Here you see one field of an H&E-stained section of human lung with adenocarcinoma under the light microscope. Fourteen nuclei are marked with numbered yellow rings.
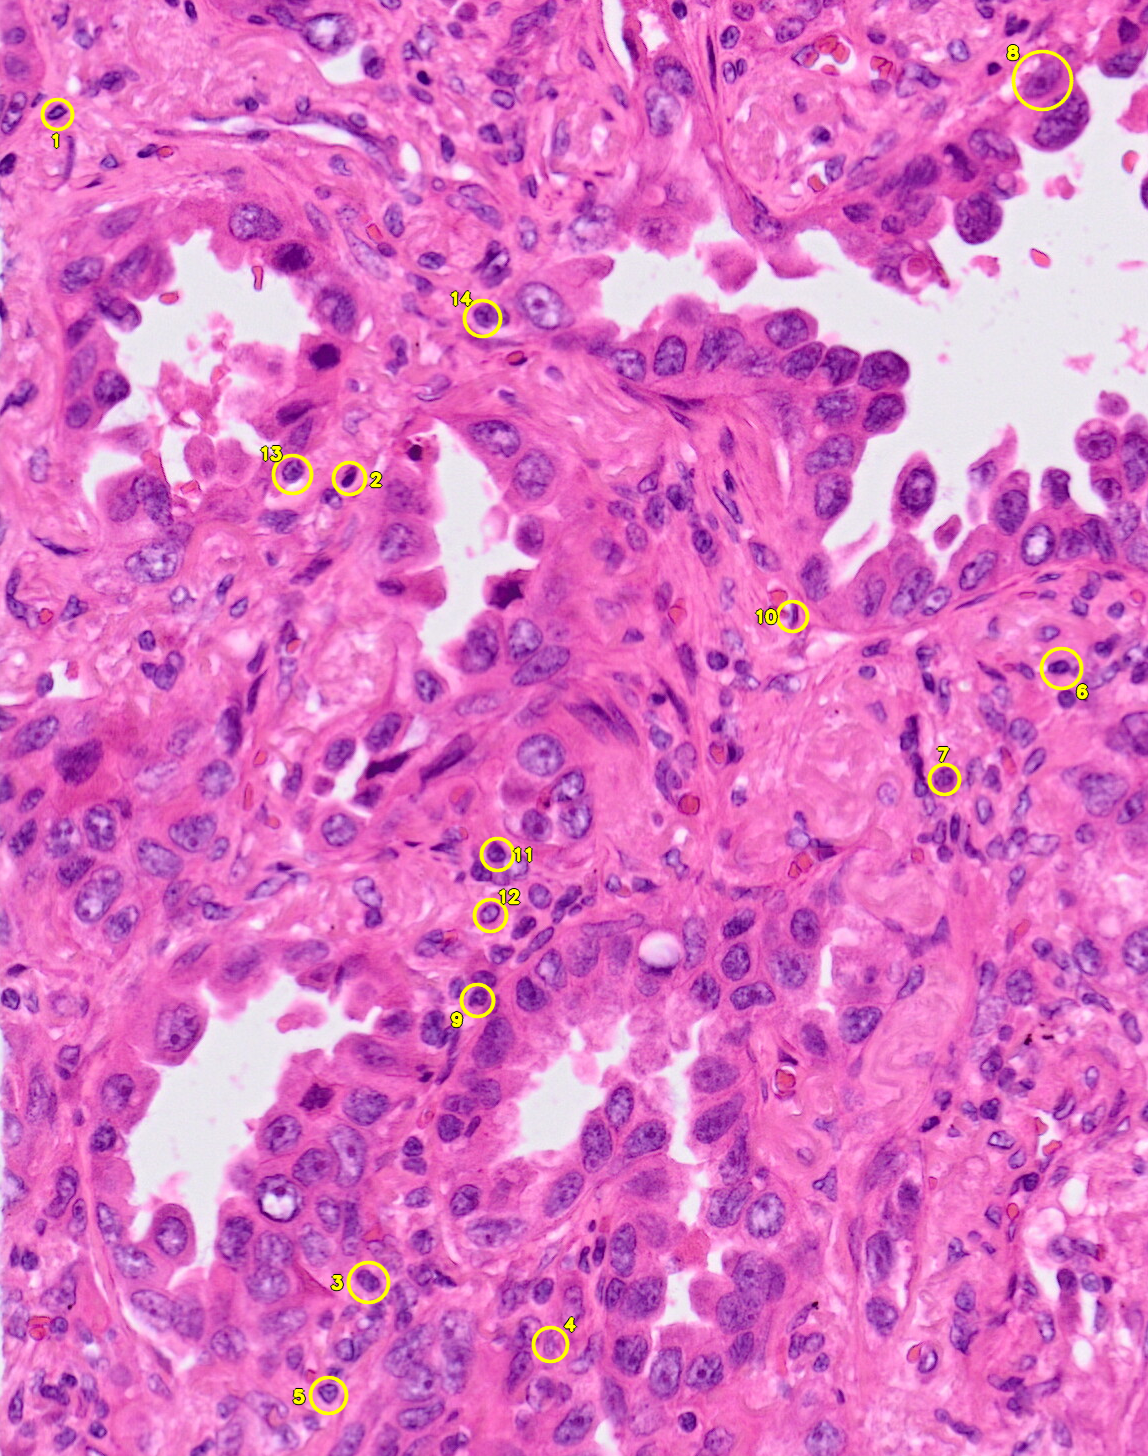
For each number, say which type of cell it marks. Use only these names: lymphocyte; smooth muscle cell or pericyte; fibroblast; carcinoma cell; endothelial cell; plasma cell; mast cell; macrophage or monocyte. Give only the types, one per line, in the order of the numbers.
mast cell
lymphocyte
lymphocyte
macrophage or monocyte
lymphocyte
lymphocyte
plasma cell
carcinoma cell
lymphocyte
endothelial cell
lymphocyte
mast cell
lymphocyte
lymphocyte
